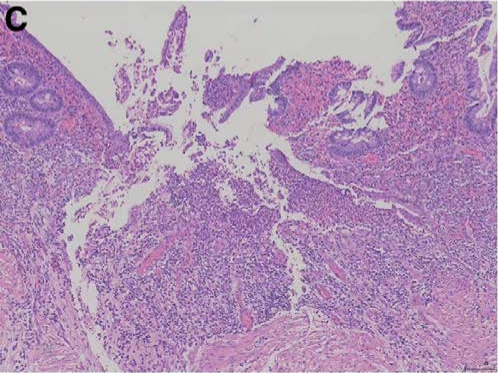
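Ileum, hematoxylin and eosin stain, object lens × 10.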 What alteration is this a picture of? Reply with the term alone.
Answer: fissured ulcers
